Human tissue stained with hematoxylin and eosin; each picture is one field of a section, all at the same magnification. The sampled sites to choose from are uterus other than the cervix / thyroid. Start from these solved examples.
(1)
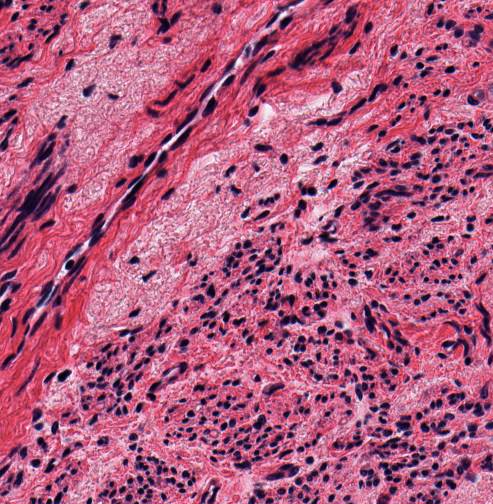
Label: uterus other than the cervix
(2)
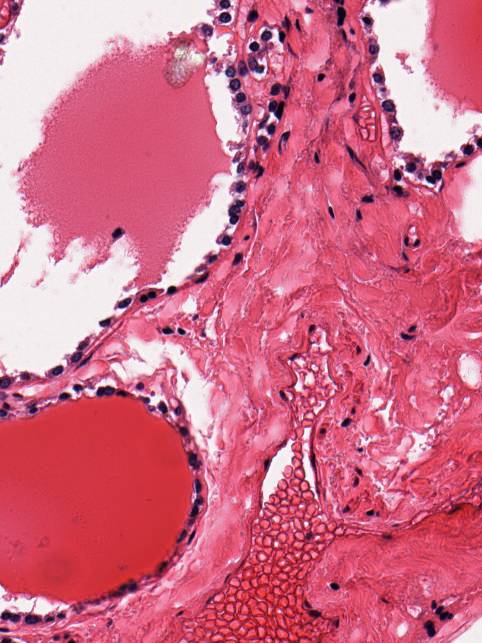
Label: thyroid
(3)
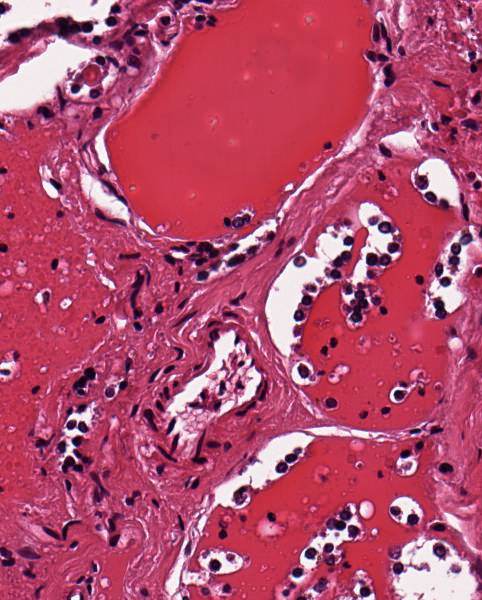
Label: thyroid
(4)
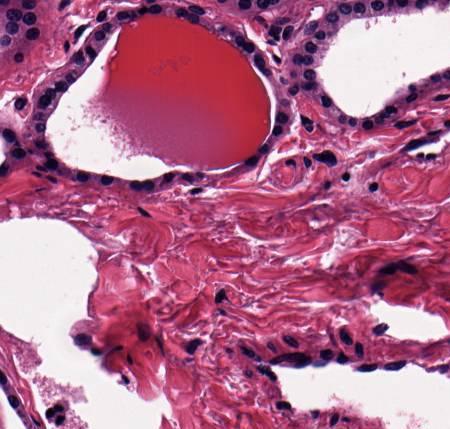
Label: thyroid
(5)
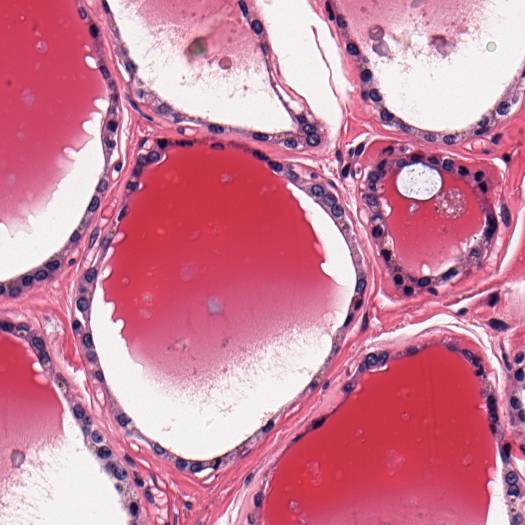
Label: thyroid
